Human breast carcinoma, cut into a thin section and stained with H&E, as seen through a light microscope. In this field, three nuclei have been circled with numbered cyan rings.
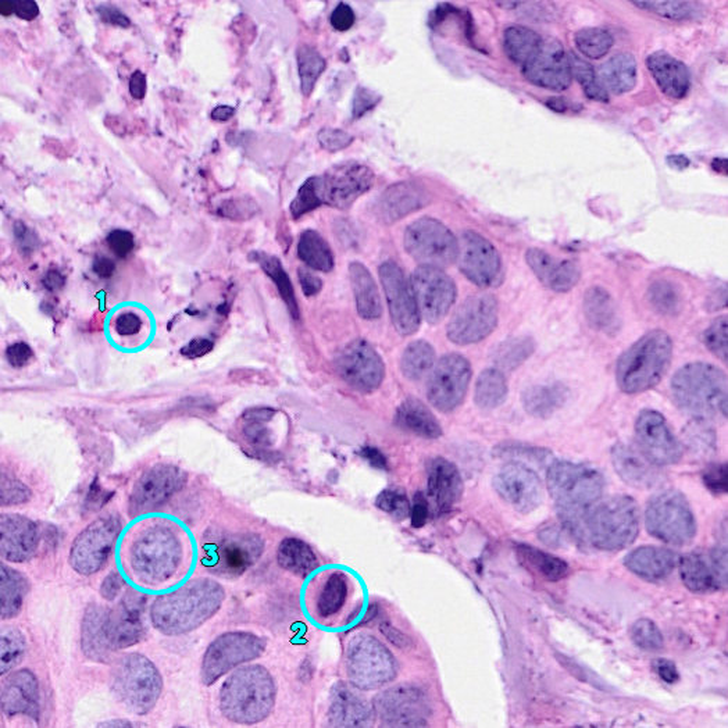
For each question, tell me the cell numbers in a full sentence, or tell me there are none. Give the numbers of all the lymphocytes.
Exactly one numbered cell is a lymphocyte, and that cell is number 1.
